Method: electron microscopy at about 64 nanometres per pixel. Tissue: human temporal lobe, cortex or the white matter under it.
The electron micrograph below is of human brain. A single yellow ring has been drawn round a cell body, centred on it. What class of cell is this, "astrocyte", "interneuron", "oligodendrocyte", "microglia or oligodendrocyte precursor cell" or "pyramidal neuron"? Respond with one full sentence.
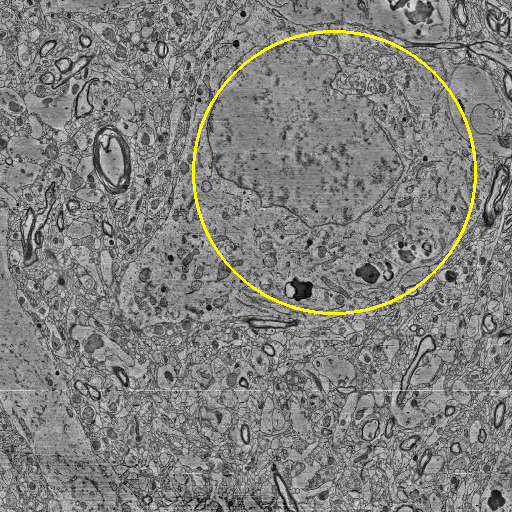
In the micrograph, the cell centred inside the yellow ring is a pyramidal neuron.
